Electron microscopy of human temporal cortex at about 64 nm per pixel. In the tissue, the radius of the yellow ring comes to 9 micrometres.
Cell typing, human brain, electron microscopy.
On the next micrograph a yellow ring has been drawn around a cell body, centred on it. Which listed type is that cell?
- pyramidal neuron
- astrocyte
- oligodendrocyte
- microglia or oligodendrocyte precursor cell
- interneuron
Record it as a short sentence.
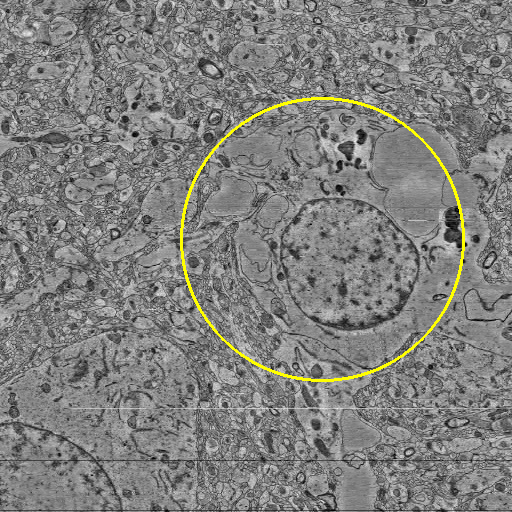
The cell body in the ring's centre belongs to an astrocyte.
